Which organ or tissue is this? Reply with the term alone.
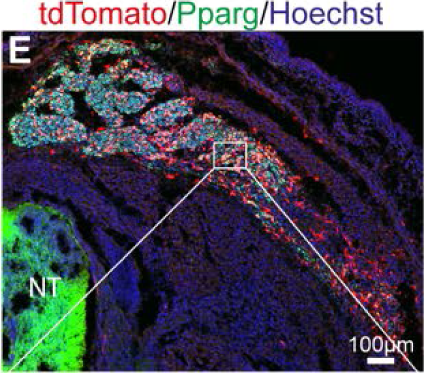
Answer: brown adipose tissue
